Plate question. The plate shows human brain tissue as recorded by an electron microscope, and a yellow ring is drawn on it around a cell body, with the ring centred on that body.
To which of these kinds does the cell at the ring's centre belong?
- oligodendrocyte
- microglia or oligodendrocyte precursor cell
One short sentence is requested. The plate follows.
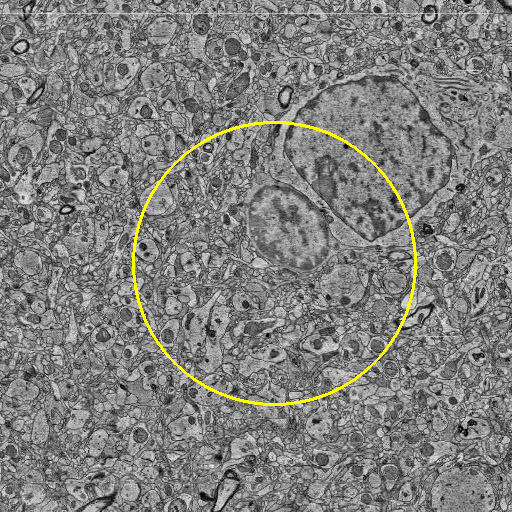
The cell at the ring's centre is an oligodendrocyte.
